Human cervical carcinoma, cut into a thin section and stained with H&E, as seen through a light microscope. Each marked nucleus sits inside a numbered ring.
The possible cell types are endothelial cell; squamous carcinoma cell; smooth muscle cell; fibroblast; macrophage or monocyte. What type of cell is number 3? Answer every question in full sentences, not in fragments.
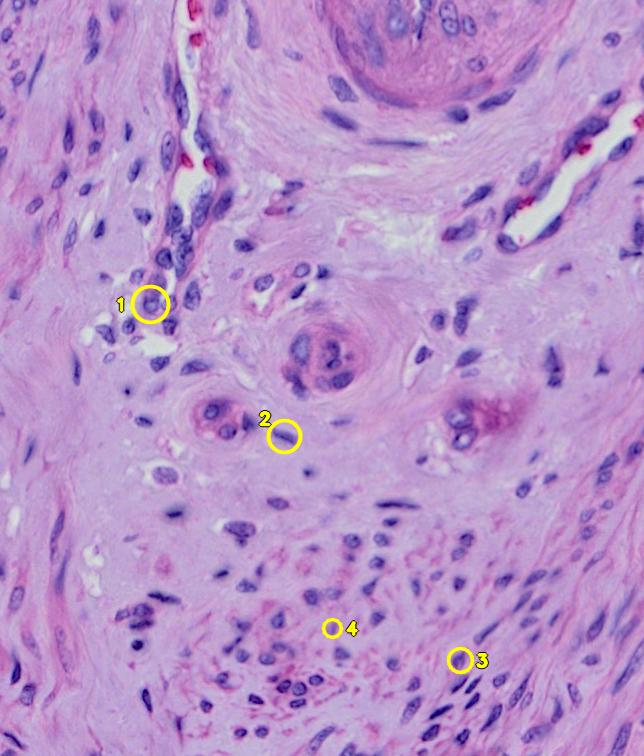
Within this field of view, the cell labelled 3 is a smooth muscle cell.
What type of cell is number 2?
Denoted by the label 2 in the section is a fibroblast.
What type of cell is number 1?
The cell that bears the number 1 is an endothelial cell.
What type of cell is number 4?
The cell marked with the number 4 is a smooth muscle cell.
